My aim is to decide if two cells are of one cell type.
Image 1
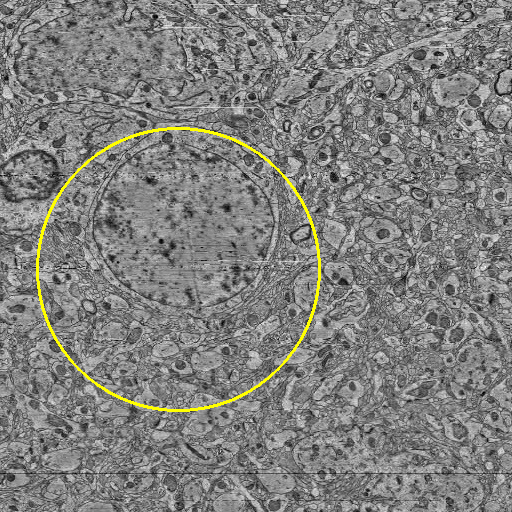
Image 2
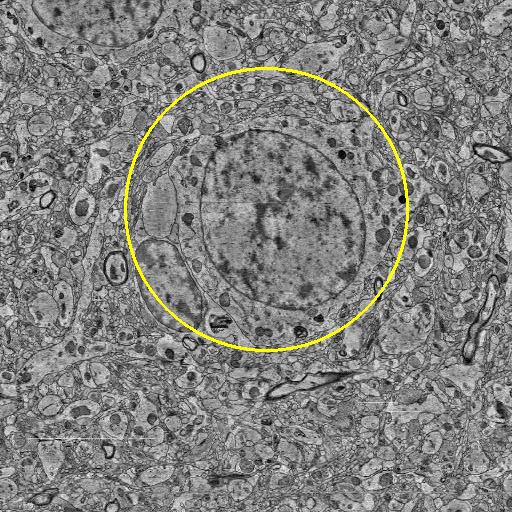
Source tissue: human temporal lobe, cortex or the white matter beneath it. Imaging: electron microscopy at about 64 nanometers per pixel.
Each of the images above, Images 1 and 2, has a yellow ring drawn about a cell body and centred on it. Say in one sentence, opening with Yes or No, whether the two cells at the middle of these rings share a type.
Yes, in Images 1 and 2 the cells at the middle of the rings share one type.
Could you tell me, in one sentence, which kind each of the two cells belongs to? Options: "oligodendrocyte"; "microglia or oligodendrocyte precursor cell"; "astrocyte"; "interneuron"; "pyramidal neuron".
In both pictures the ring is centred on a pyramidal neuron.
